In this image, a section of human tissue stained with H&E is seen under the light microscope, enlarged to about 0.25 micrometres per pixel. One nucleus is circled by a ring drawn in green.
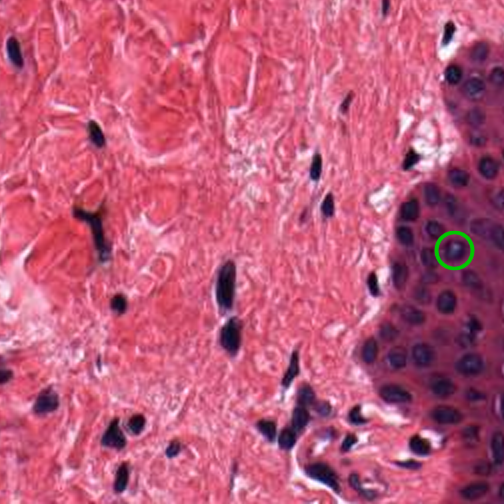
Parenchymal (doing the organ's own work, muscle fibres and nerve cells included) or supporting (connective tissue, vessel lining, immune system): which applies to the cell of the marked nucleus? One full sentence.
It is the nucleus of a keratinocyte, a parenchymal cell, that is marked.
